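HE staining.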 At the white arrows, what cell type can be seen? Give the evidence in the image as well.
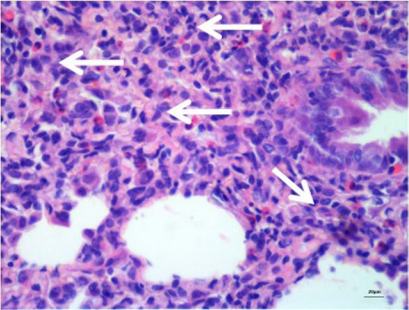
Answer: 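Inflammatory cells. The marked areas hold many small cells with dense round nuclei. Red blood cells lie scattered among them.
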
